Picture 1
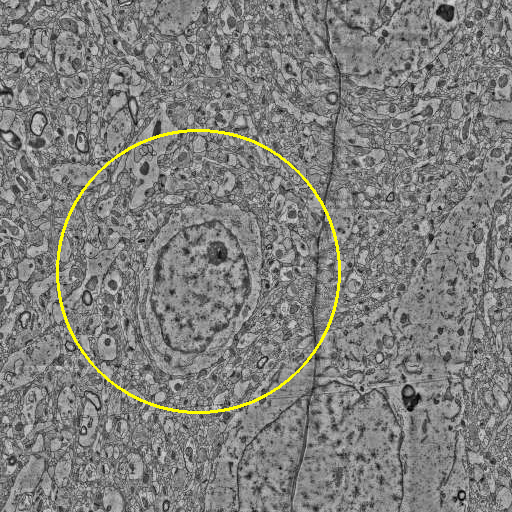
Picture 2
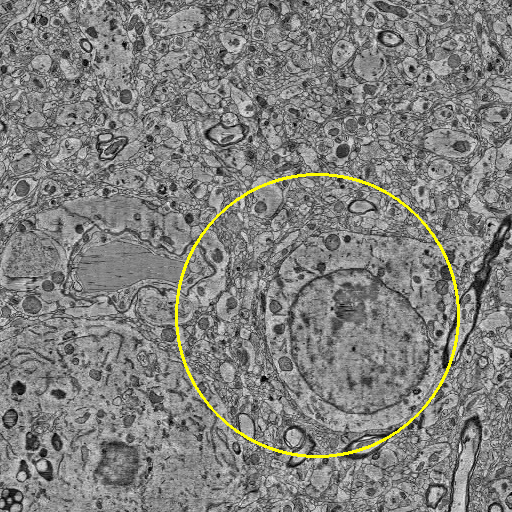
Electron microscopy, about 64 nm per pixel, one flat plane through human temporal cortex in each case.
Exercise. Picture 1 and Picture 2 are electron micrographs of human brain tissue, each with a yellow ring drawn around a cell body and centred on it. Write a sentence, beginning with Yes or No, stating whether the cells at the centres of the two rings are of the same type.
No, the cells at the centres of the rings are of two types.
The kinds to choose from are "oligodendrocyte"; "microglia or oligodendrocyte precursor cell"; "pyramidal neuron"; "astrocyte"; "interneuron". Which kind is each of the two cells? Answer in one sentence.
Of the two, the first cell is an interneuron and the second cell is a pyramidal neuron.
